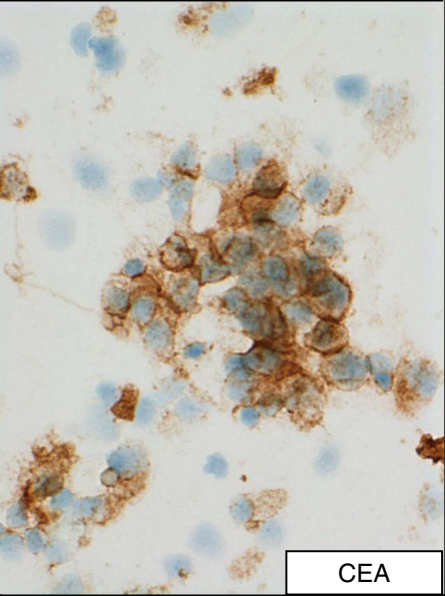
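A cohesive cluster of tumour cells with pale blue round nuclei lies at the centre, their cell borders and cytoplasm marked by brown stain. Smaller stained groups lie at the edges, while scattered cells around them stay unstained with only blue nuclei.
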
